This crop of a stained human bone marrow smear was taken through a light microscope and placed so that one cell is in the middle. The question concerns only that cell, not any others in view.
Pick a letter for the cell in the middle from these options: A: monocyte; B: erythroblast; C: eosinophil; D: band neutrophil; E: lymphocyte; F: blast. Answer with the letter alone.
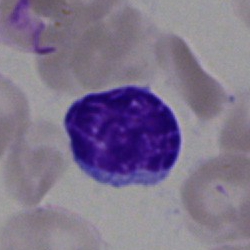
E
